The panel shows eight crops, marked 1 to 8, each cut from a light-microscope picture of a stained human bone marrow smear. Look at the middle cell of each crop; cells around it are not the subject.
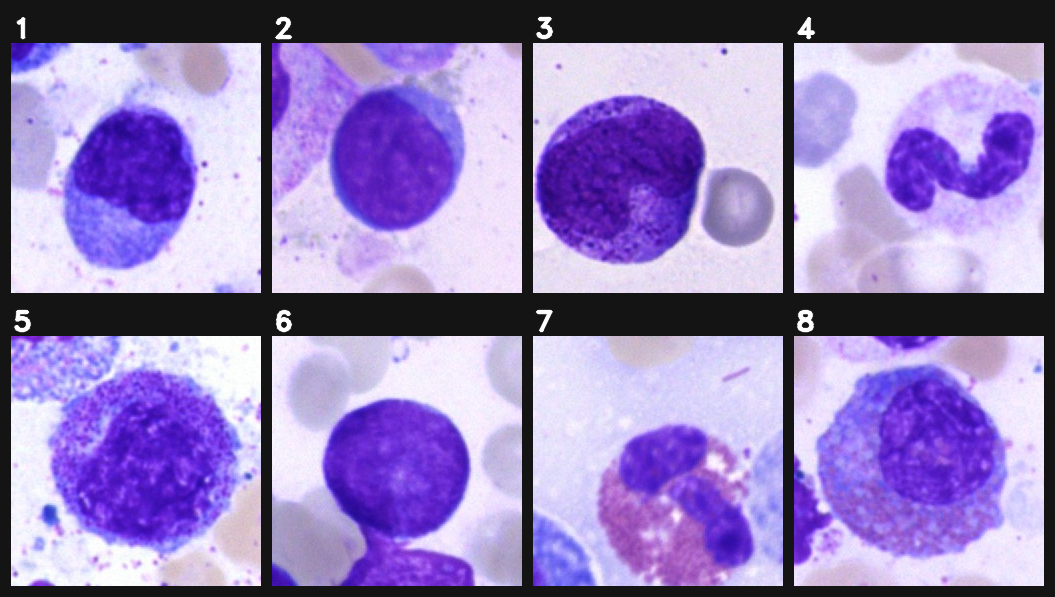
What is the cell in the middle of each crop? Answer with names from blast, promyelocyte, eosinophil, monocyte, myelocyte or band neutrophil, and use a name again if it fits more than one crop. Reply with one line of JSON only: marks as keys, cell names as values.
{"1": "monocyte", "2": "blast", "3": "promyelocyte", "4": "band neutrophil", "5": "myelocyte", "6": "blast", "7": "eosinophil", "8": "eosinophil"}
